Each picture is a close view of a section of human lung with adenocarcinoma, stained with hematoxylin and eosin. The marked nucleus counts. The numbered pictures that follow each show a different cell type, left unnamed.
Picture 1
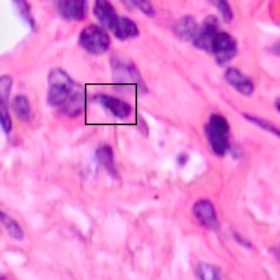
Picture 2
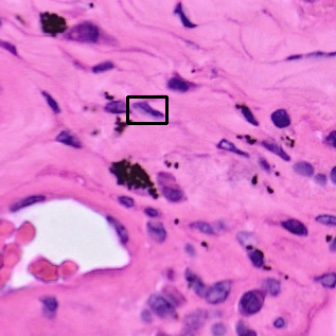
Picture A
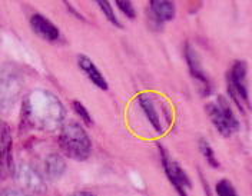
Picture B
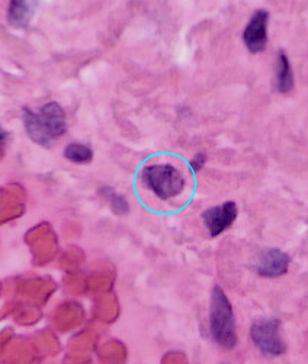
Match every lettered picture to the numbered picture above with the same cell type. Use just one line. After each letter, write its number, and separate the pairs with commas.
A 2, B 2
